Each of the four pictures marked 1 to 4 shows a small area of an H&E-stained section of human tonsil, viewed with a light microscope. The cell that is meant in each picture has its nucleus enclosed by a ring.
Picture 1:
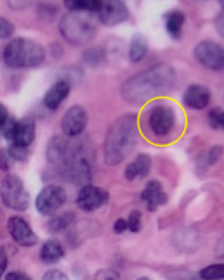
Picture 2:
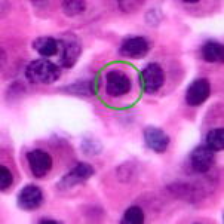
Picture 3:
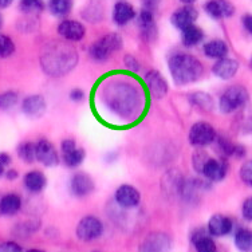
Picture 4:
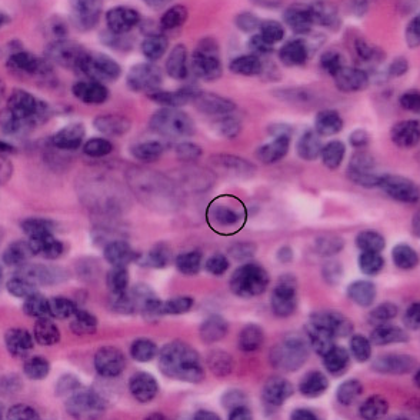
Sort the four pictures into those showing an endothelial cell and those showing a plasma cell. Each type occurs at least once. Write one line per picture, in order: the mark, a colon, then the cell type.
1: endothelial cell
2: plasma cell
3: endothelial cell
4: endothelial cell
